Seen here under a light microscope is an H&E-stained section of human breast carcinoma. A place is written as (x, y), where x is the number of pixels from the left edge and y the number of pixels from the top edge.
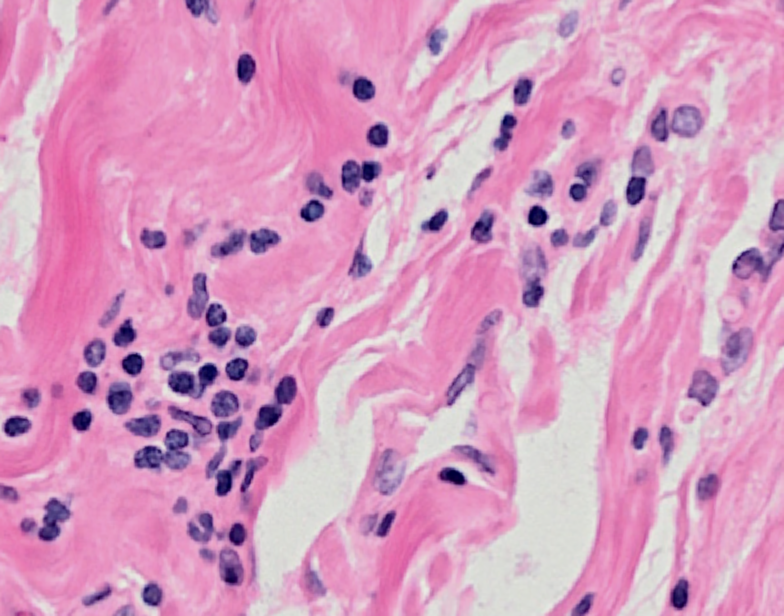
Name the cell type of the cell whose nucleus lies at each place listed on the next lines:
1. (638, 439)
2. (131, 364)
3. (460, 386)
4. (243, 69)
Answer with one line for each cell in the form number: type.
1: lymphocyte
2: lymphocyte
3: endothelial cell
4: lymphocyte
